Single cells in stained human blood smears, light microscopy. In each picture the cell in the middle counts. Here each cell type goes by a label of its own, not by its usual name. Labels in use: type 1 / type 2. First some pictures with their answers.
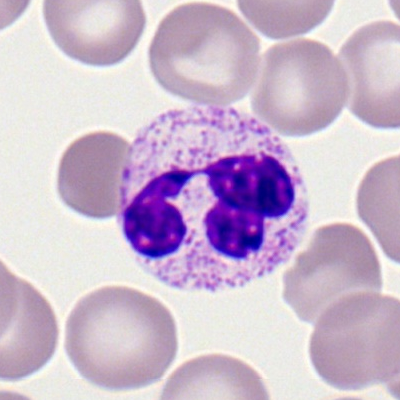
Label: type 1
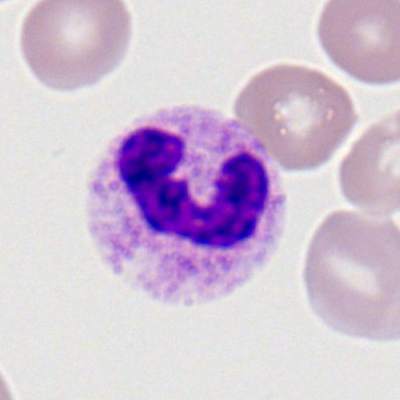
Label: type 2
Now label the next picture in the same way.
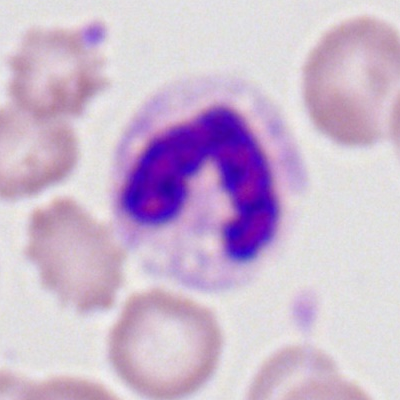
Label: type 2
